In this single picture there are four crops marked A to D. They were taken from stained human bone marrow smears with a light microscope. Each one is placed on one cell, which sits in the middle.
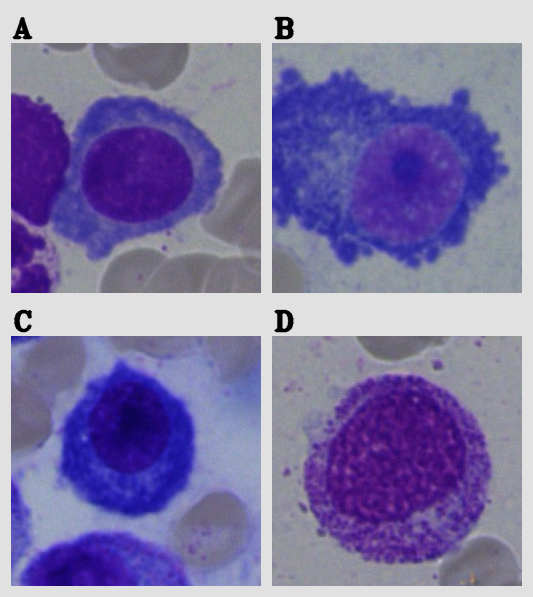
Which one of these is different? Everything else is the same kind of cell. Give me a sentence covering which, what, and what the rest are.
Crop D is the exception here: it is a myelocyte, and the others are plasma cells.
